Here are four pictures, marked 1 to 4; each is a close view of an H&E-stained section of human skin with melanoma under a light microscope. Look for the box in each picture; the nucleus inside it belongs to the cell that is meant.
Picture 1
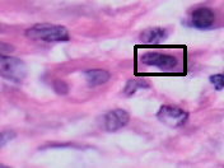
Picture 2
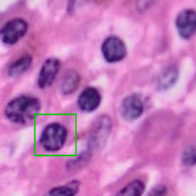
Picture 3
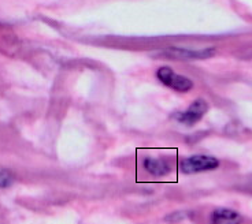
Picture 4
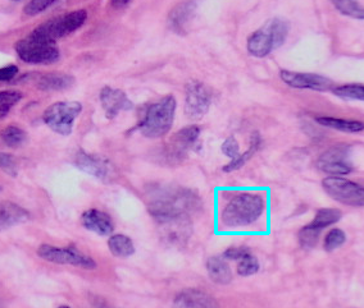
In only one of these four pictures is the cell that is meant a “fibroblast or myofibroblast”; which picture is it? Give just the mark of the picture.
4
